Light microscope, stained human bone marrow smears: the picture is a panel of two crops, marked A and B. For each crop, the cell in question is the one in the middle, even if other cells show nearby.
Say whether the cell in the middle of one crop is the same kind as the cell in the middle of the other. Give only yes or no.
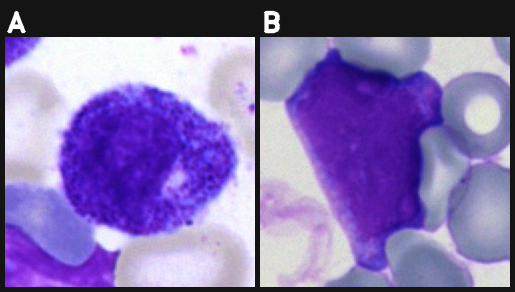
no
